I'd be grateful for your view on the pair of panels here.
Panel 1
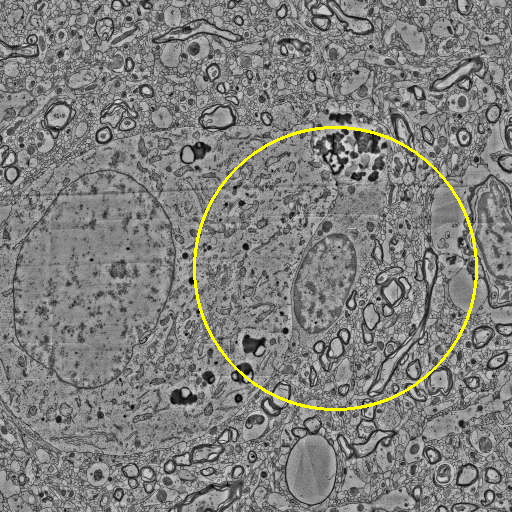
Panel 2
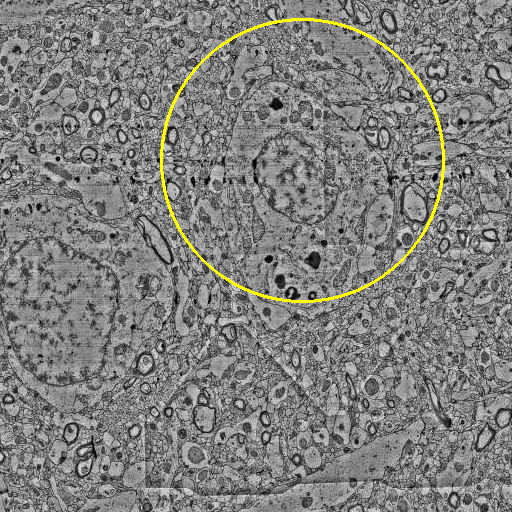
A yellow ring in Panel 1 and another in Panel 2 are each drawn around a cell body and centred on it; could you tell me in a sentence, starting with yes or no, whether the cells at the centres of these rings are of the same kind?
No, they are two kinds of cell.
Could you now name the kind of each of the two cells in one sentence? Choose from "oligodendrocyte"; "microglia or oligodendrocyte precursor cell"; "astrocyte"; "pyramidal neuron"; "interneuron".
The first ring encloses an oligodendrocyte; the second ring encloses a pyramidal neuron.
